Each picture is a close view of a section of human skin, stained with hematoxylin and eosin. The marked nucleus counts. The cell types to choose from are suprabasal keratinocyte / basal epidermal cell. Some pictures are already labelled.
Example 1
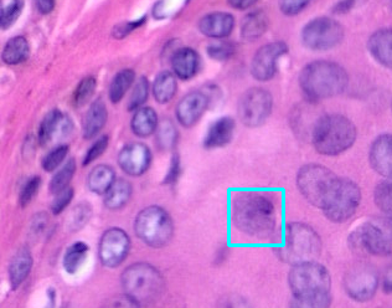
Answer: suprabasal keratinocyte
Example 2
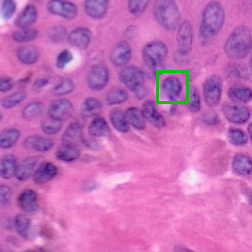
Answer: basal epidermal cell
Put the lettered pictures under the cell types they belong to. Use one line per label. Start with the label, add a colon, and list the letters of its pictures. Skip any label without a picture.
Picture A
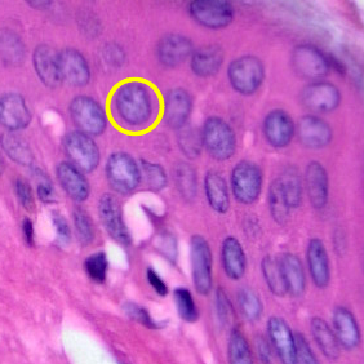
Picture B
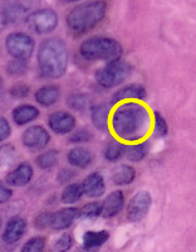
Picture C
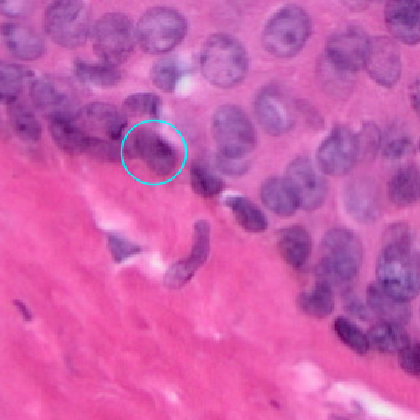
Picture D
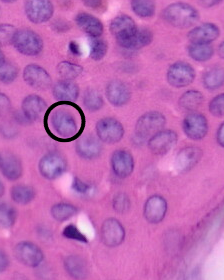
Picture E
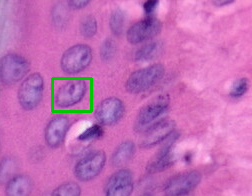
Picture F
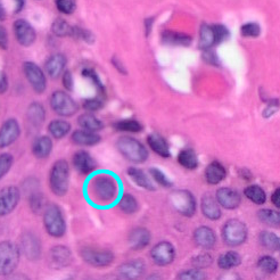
suprabasal keratinocyte: A, D, E
basal epidermal cell: B, C, F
